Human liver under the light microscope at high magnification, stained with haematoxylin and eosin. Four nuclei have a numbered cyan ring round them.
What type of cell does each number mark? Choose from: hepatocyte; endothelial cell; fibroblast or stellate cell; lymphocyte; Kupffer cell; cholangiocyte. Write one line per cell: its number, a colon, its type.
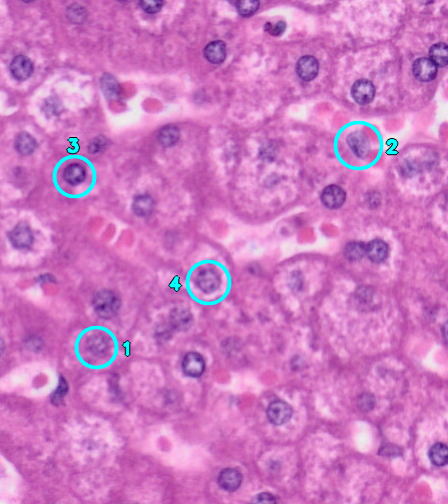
1: hepatocyte
2: endothelial cell
3: hepatocyte
4: hepatocyte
